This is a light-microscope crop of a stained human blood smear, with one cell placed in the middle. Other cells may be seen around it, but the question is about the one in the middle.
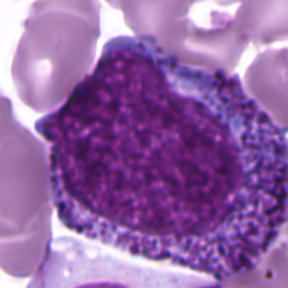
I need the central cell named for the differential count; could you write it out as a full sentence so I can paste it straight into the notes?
Present in the middle of the crop is a promyelocyte.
